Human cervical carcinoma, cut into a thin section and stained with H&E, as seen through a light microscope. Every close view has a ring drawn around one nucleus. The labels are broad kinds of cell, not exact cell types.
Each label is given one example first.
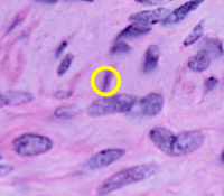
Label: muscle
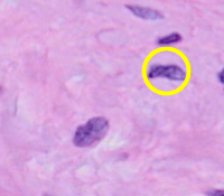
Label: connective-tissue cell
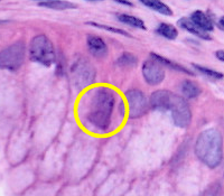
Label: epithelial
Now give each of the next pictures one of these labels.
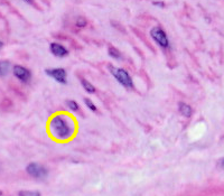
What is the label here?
muscle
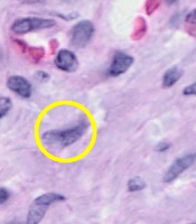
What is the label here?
connective-tissue cell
